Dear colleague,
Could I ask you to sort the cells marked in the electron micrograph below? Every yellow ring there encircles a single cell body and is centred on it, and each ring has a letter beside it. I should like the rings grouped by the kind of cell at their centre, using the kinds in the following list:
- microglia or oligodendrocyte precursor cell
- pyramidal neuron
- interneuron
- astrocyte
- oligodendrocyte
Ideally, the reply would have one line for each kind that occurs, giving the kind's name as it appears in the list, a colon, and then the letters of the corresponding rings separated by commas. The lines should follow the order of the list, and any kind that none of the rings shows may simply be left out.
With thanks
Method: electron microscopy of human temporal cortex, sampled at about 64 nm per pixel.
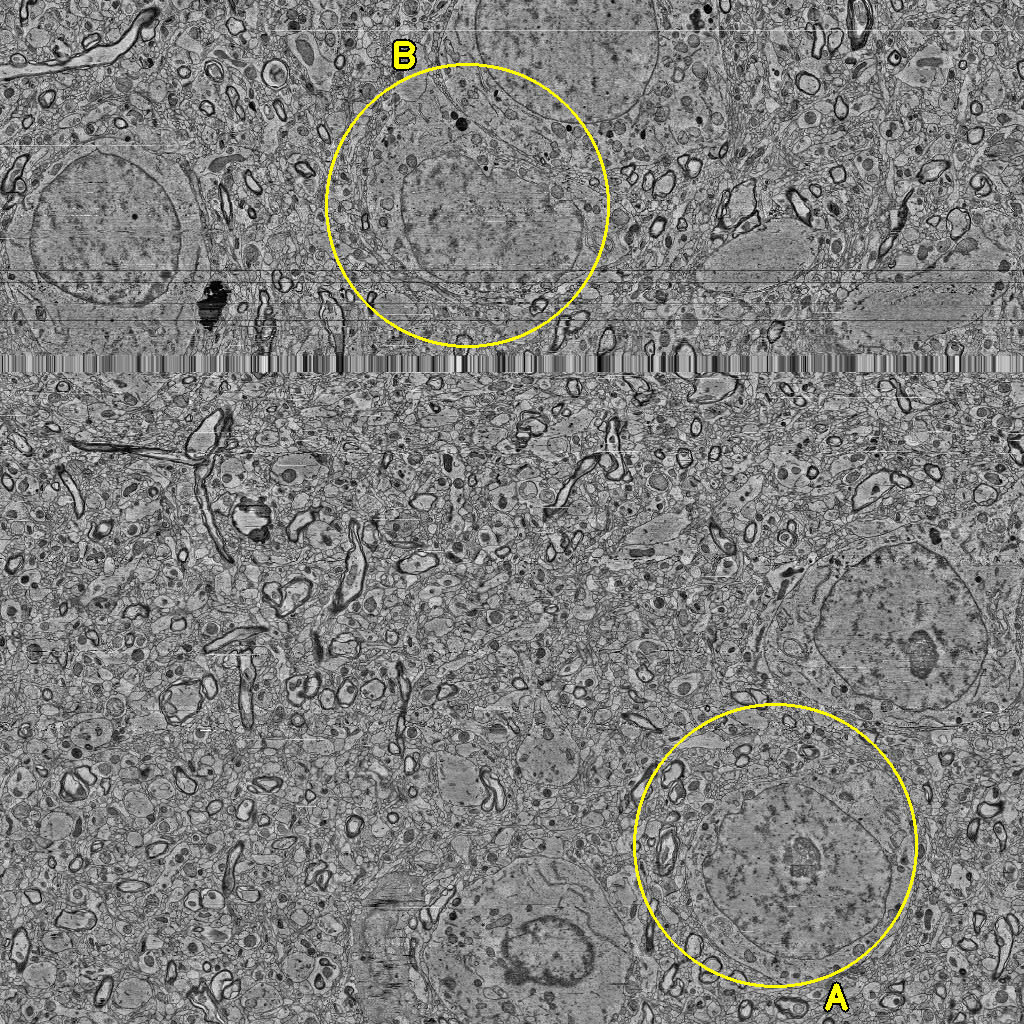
pyramidal neuron: A
interneuron: B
